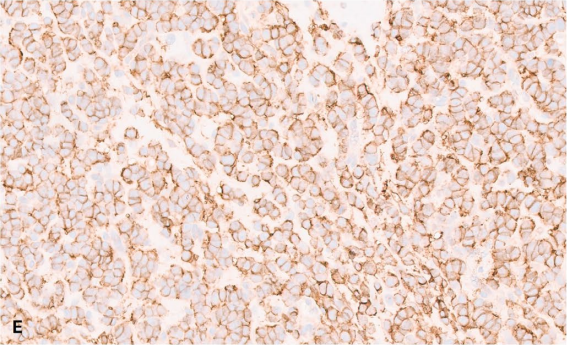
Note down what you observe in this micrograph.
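Sheets of neoplastic cells, crowded and fairly uniform, in which a thin brown line outlines the border of nearly every cell, giving a honeycomb or chicken-wire pattern. The nuclei are round to oval, counterstained pale blue, and fill most of each cell. The cytoplasm is scant and unstained.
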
